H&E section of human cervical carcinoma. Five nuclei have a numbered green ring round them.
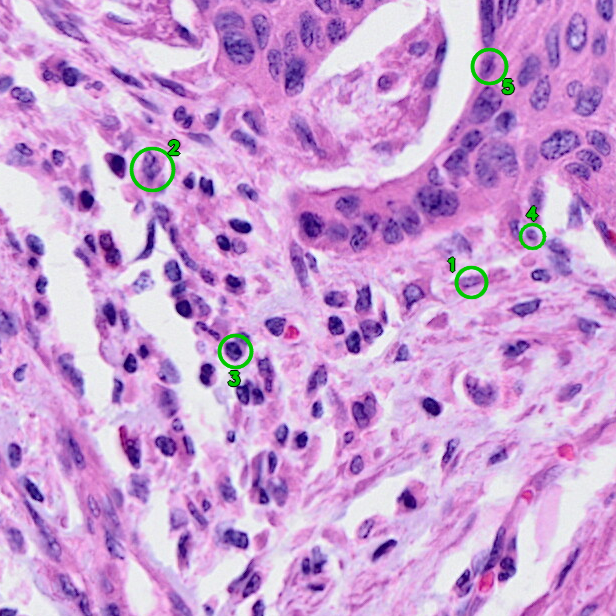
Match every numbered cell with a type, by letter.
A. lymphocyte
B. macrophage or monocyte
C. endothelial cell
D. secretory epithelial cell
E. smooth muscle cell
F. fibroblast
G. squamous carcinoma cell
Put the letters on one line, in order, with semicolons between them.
F; B; A; F; G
